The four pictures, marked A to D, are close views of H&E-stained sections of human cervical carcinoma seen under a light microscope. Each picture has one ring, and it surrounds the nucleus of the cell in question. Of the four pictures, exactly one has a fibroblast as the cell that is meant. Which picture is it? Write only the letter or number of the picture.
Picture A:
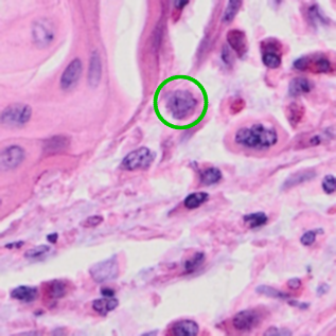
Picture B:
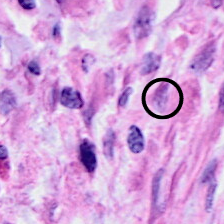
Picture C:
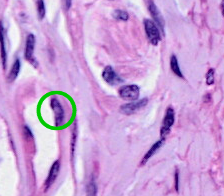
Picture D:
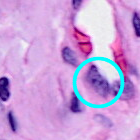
B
